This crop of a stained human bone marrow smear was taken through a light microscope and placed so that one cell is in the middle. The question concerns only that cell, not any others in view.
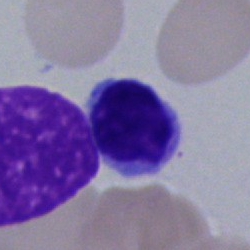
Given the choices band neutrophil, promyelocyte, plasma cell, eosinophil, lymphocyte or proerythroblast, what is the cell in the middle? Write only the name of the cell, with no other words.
lymphocyte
